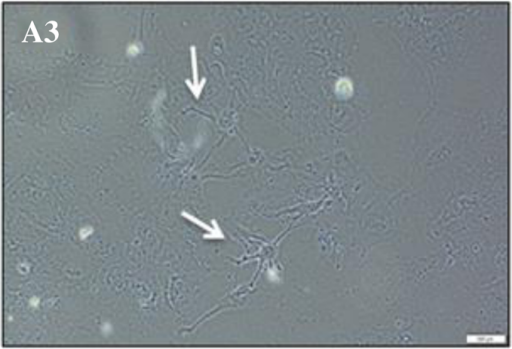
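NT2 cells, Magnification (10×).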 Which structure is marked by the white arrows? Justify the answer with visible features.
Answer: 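Small cell bodies give off long thin branching processes. Processes join neighbouring cells across the surface. So: neuronal morphology with extended network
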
